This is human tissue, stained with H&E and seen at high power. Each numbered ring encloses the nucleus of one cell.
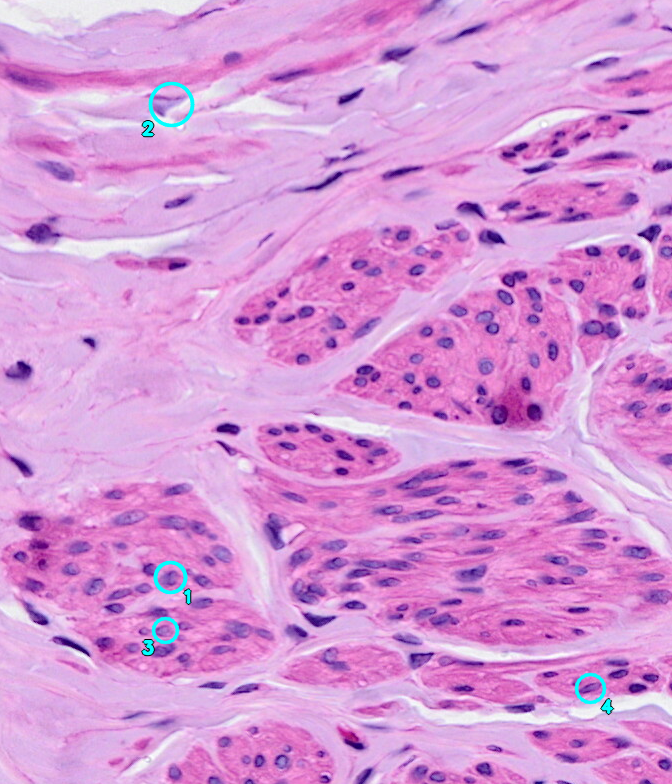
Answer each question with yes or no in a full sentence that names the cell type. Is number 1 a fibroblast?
No, cell 1 has been misnamed; it is a smooth muscle cell, not a fibroblast.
